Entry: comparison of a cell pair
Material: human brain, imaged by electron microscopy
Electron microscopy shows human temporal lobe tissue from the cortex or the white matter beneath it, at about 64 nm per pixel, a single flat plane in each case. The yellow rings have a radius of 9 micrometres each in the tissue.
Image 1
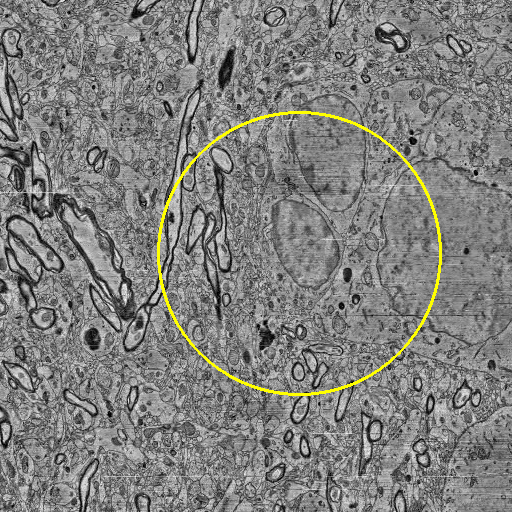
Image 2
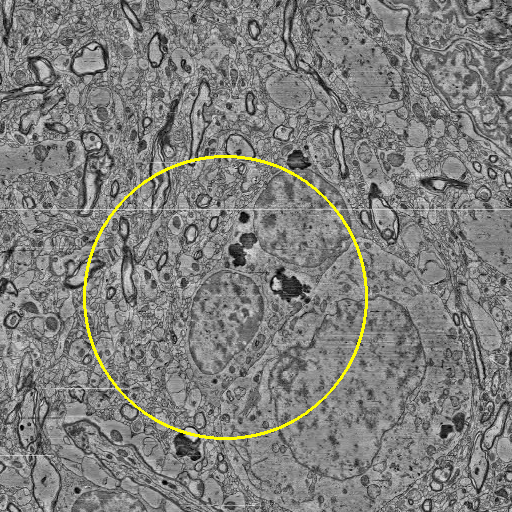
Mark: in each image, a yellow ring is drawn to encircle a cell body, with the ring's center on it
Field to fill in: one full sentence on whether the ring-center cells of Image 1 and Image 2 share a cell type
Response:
Yes, Image 1 and Image 2 each show a ring-center cell of one shared type.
